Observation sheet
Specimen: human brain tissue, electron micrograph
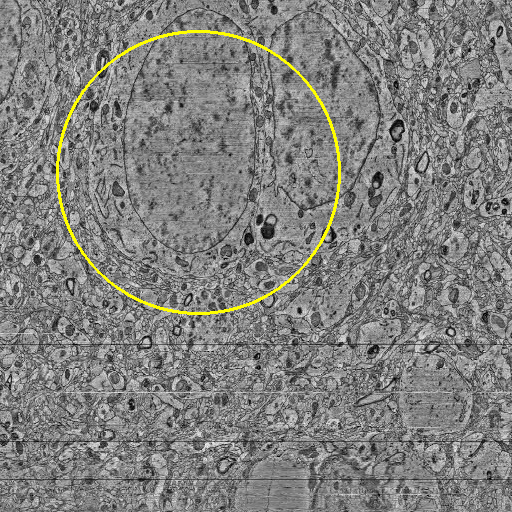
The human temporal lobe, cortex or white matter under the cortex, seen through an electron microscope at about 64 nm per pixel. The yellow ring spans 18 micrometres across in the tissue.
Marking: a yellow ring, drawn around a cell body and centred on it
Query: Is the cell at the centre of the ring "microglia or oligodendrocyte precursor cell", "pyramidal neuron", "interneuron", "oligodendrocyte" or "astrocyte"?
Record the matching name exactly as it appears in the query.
pyramidal neuron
